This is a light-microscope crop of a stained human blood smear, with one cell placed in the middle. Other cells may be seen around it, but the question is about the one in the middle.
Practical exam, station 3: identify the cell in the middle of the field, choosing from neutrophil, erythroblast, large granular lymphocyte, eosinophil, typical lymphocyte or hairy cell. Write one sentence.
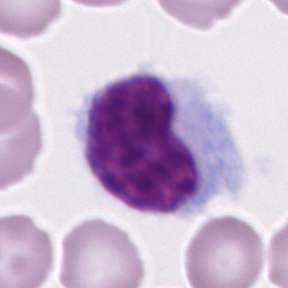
This crop has a hairy cell at its centre.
